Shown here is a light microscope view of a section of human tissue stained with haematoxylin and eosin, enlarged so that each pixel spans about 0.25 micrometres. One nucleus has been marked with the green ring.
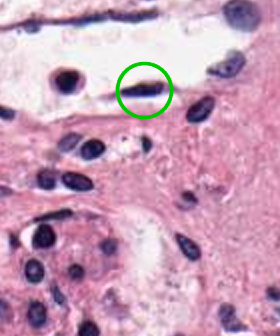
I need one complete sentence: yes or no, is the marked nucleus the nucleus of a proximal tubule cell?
No, what carries the marked nucleus is a supporting cell rather than a proximal tubule cell.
